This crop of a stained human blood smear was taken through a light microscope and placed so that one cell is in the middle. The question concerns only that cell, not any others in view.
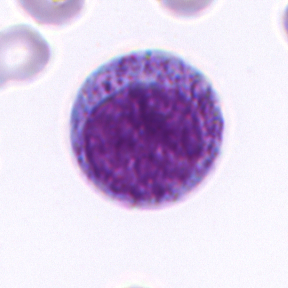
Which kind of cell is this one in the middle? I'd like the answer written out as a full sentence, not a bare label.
Centrally within this crop lies a myelocyte.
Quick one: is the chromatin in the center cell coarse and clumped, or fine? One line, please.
The chromatin here is fine and lacks any coarse clumps.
